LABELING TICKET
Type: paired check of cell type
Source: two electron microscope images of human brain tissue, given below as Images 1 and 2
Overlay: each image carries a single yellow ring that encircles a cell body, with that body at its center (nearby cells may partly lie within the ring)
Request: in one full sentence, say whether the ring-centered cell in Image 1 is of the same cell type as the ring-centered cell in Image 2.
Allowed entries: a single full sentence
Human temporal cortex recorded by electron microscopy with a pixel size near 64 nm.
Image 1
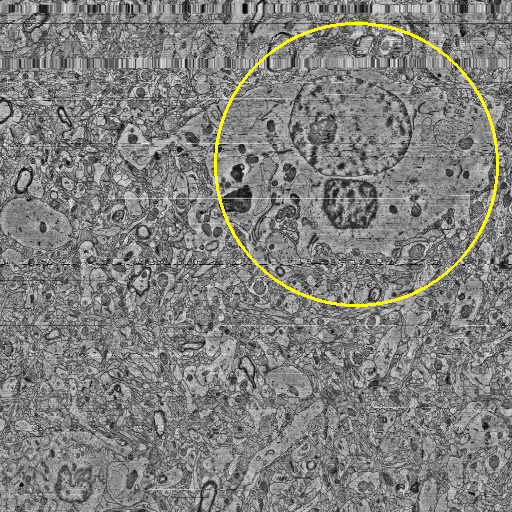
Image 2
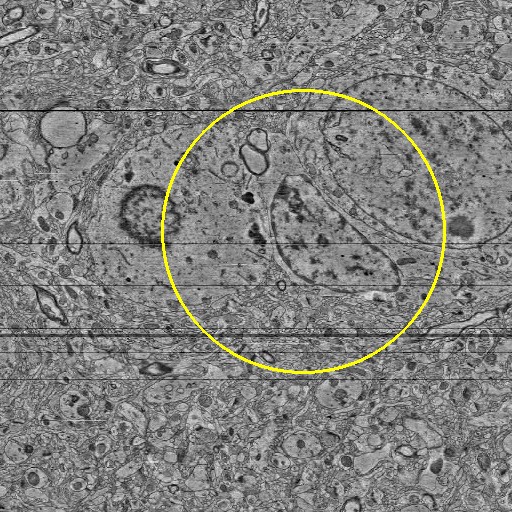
No, the cells centered in the rings of Image 1 and Image 2 are of two types.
